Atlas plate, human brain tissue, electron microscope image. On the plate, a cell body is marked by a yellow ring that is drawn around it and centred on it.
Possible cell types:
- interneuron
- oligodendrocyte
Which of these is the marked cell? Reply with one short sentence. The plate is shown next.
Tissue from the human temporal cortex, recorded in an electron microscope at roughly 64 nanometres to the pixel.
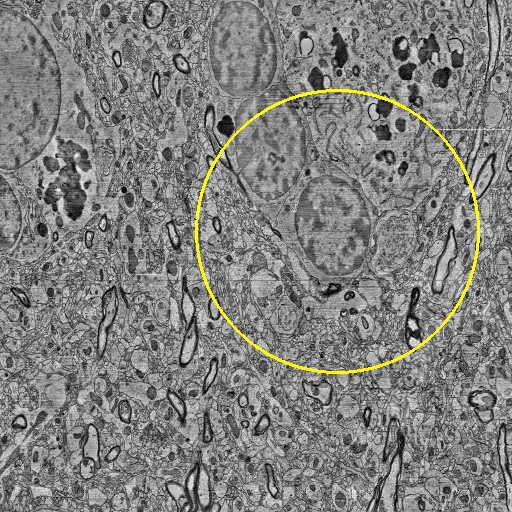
The marked cell is an oligodendrocyte.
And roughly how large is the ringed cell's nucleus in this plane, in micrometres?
In this plane the nucleus measures roughly 7 by 5 micrometres.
